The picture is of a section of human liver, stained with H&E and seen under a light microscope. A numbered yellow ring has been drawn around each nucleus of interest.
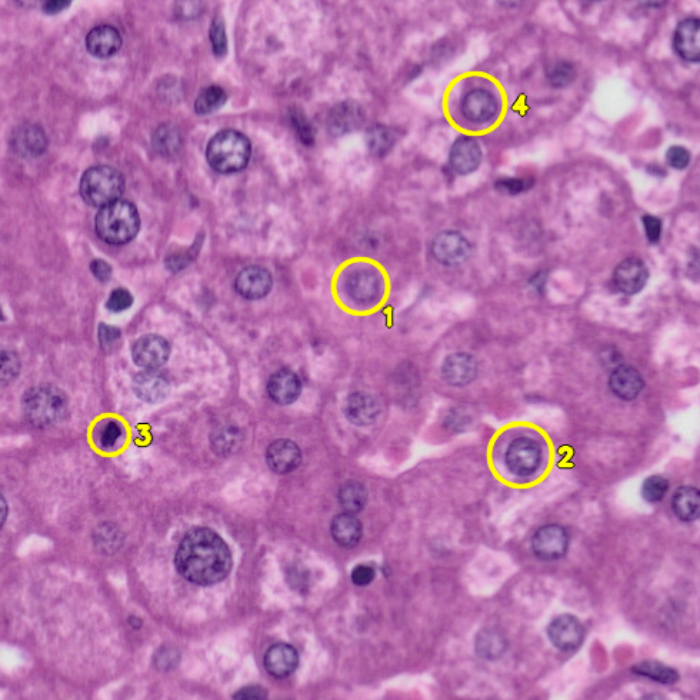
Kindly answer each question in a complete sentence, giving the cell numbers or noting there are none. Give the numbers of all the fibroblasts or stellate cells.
Where the numbered cells are concerned, only number 3 is a fibroblast or stellate cell.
